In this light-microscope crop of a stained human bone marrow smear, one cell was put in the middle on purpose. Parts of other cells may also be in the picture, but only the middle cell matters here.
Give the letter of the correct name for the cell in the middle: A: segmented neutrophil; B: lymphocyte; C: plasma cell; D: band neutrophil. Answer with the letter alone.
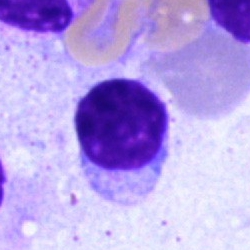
B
